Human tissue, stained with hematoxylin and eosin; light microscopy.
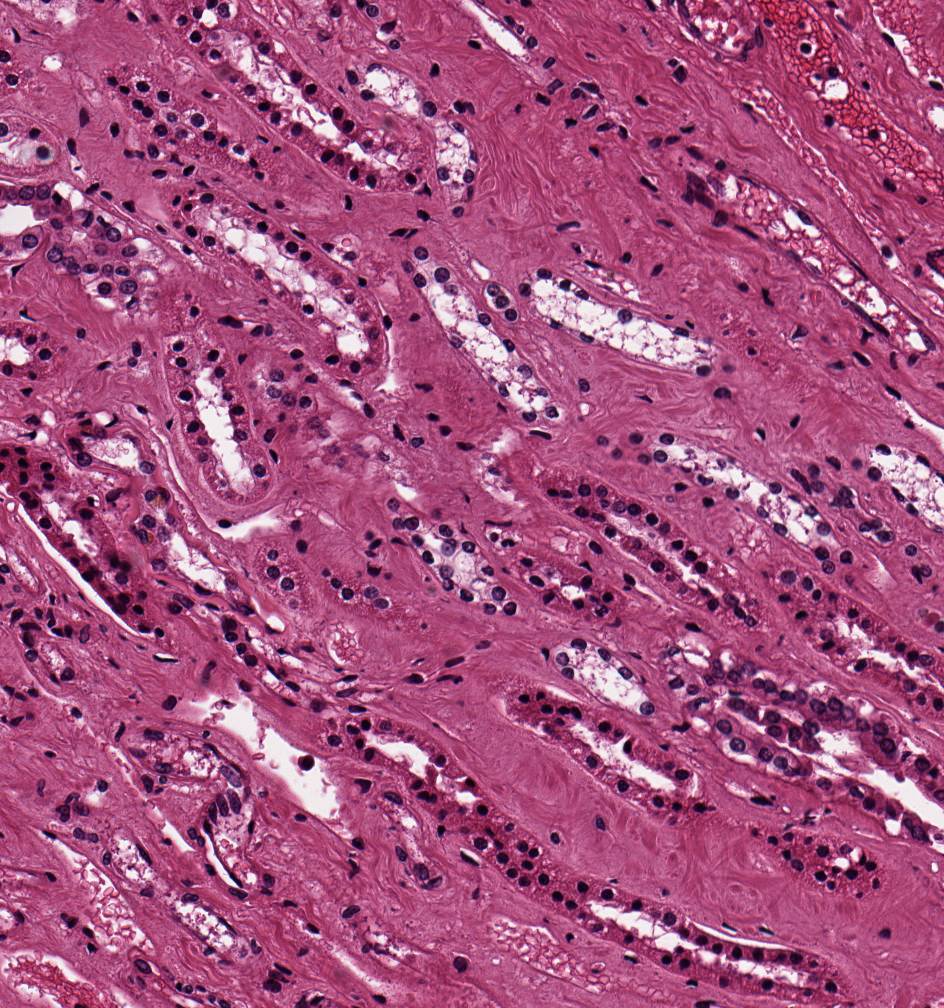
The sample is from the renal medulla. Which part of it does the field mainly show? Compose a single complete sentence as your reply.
In this image of a tissue section, the part is named inner medulla.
